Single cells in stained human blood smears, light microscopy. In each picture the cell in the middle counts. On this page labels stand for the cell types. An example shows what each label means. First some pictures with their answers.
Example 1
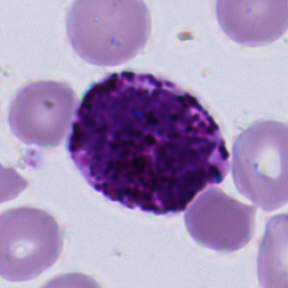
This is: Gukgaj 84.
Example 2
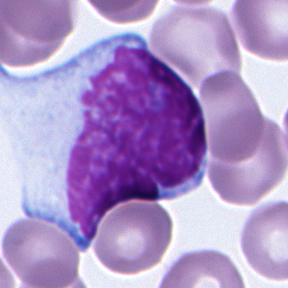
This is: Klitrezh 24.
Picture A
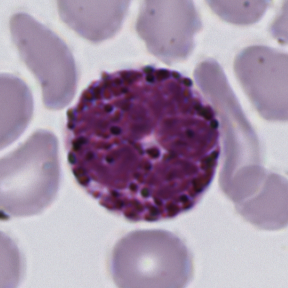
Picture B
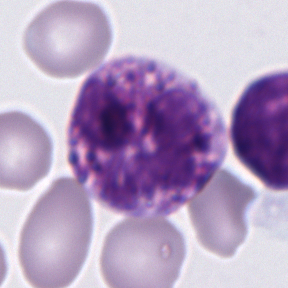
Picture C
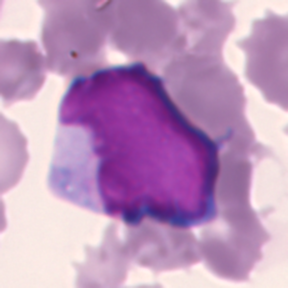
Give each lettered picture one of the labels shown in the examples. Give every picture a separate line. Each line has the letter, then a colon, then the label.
A: Gukgaj 84.
B: Gukgaj 84.
C: Klitrezh 24.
